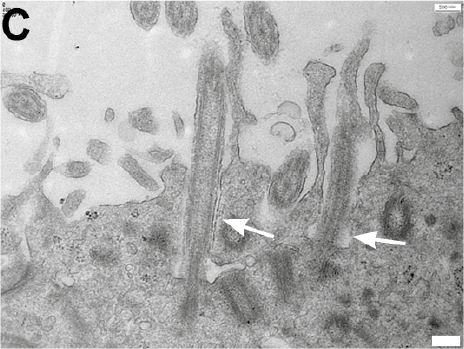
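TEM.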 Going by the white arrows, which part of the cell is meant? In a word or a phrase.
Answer: Ciliary pockets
